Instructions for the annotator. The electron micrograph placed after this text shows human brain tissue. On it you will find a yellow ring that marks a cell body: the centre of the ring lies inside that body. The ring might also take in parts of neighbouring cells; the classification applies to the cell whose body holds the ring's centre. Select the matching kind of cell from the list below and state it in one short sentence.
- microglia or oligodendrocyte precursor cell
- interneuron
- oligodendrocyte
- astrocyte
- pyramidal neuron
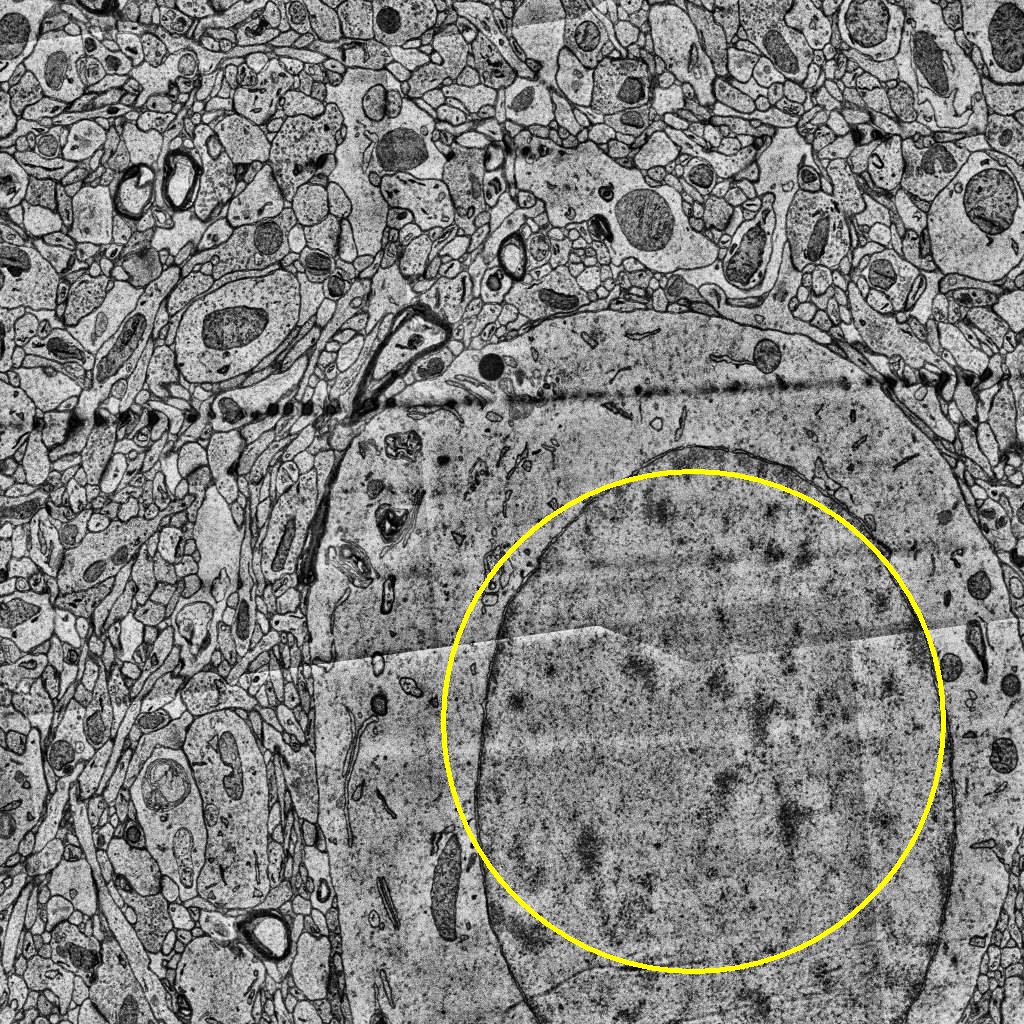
The centre of the ring lies in the cell body of a pyramidal neuron.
